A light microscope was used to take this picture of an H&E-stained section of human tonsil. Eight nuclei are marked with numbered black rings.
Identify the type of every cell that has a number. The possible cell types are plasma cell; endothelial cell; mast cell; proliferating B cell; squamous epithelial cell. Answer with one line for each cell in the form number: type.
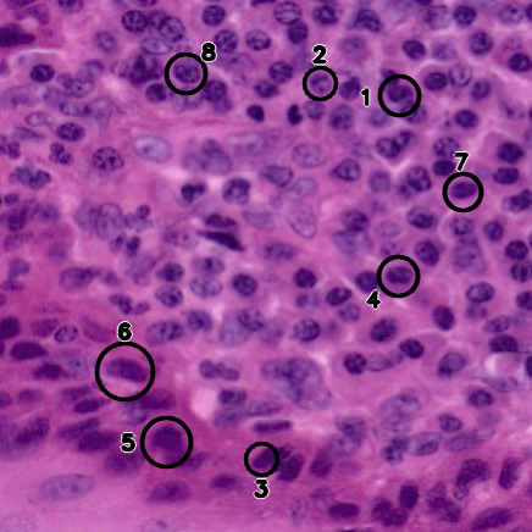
1: plasma cell
2: plasma cell
3: squamous epithelial cell
4: plasma cell
5: squamous epithelial cell
6: squamous epithelial cell
7: plasma cell
8: plasma cell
